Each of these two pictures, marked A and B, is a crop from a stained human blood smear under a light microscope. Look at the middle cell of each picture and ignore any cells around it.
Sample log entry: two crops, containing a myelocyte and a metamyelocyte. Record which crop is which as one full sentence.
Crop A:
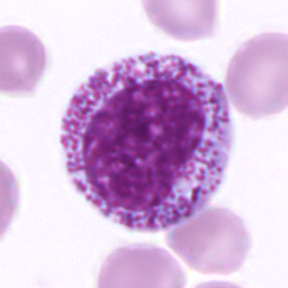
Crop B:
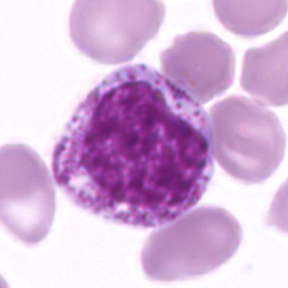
In this set, crop A is a myelocyte and crop B is a metamyelocyte.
